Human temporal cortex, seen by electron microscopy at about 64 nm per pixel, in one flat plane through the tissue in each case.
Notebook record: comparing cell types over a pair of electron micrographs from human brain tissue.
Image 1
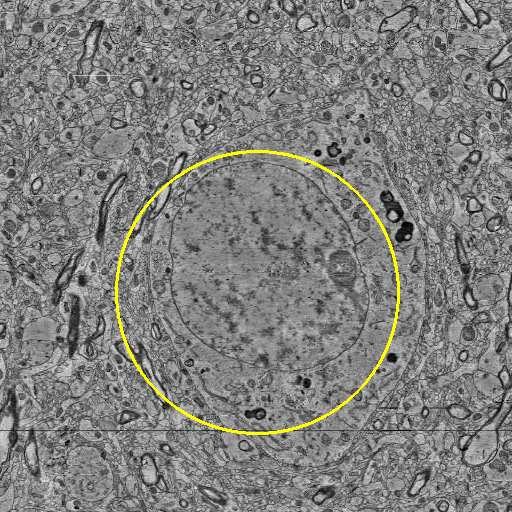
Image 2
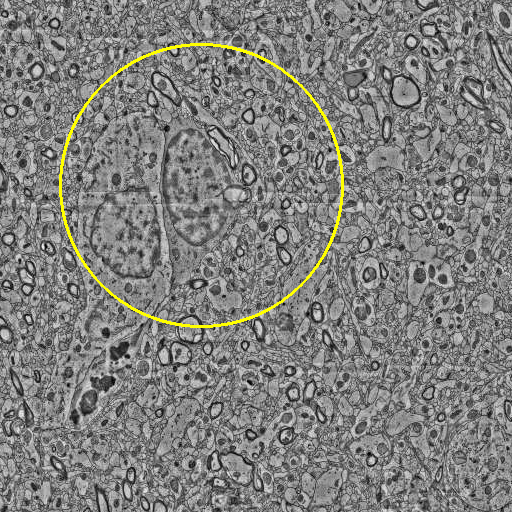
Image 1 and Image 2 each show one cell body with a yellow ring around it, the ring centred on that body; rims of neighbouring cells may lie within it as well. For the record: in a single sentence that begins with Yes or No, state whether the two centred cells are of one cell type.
No, two cell types are found among the centred cells of Image 1 and Image 2.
